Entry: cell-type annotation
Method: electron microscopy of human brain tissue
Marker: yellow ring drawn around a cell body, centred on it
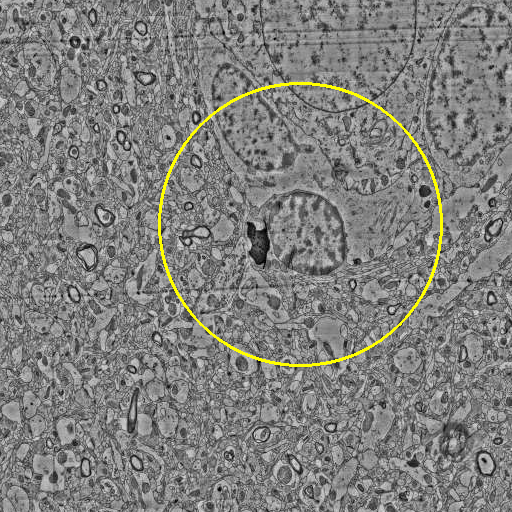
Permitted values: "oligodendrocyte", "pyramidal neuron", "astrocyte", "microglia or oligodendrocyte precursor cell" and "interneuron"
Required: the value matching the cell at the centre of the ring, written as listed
oligodendrocyte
